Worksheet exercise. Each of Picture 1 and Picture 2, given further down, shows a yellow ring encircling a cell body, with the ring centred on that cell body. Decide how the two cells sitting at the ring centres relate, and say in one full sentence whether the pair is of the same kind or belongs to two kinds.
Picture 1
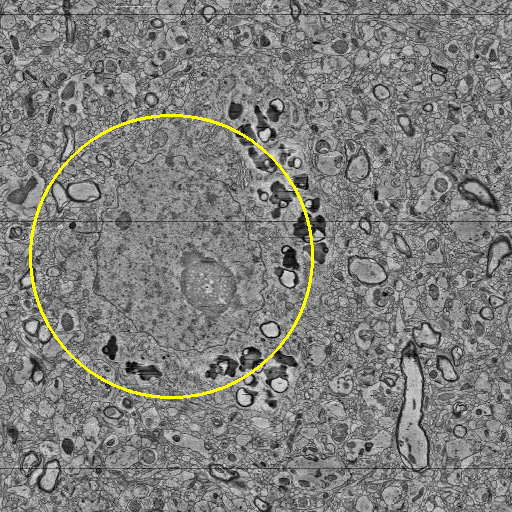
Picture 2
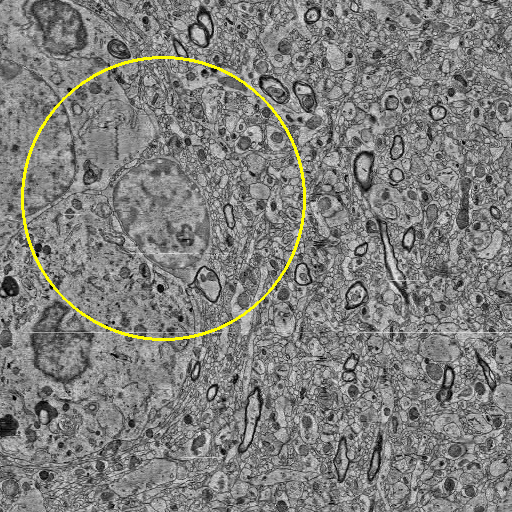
The cells at the ring centres in Picture 1 and Picture 2 belong to two kinds.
